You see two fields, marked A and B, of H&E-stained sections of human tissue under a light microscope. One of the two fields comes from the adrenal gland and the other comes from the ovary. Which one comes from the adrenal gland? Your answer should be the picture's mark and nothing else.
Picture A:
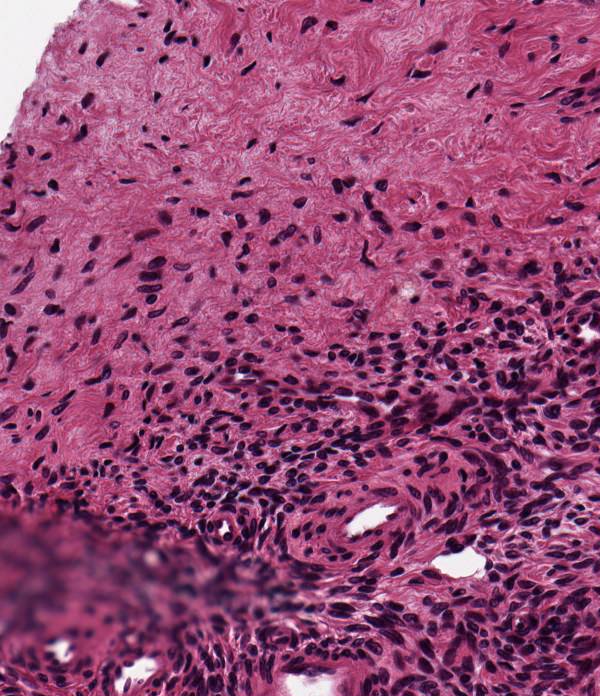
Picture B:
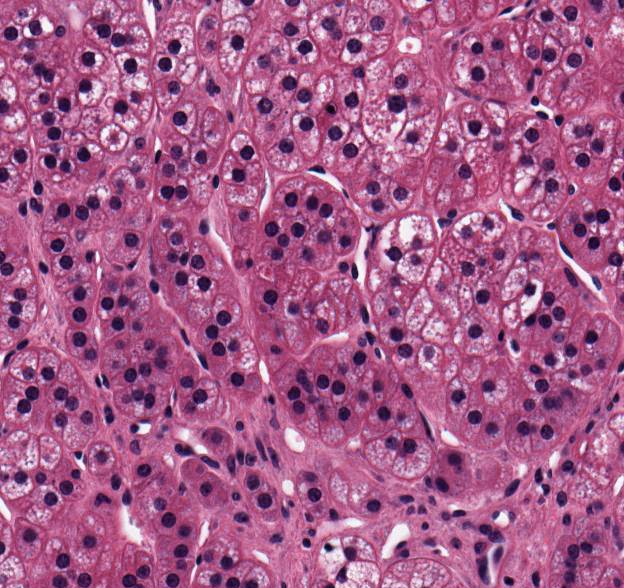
B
